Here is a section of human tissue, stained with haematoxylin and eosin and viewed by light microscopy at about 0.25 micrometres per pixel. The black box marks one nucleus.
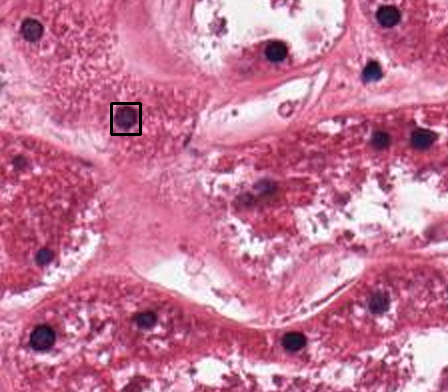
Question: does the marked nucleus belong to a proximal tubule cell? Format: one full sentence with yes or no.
Yes, the marked nucleus is present within a proximal tubule cell.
